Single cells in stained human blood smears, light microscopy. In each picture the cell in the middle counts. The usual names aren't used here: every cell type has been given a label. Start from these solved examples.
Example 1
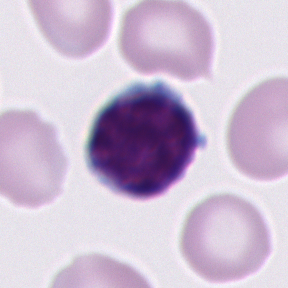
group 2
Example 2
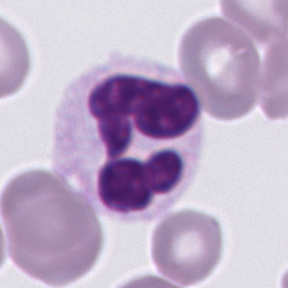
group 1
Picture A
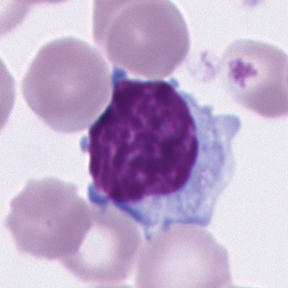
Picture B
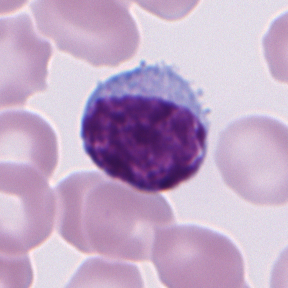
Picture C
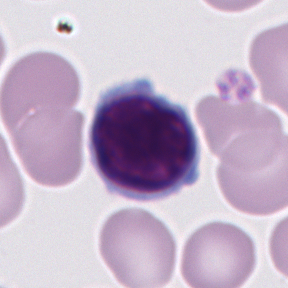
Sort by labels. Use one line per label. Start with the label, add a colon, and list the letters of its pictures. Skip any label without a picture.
group 2: A, B, C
